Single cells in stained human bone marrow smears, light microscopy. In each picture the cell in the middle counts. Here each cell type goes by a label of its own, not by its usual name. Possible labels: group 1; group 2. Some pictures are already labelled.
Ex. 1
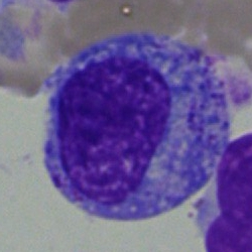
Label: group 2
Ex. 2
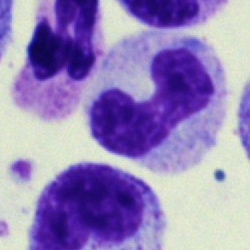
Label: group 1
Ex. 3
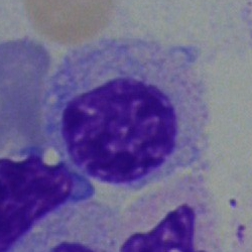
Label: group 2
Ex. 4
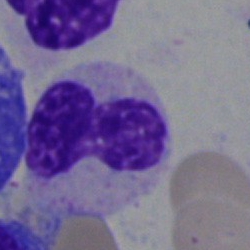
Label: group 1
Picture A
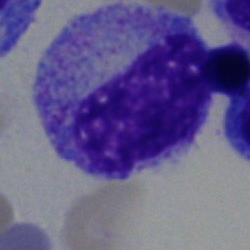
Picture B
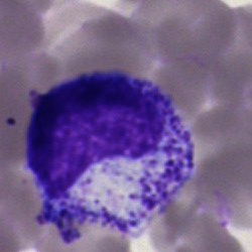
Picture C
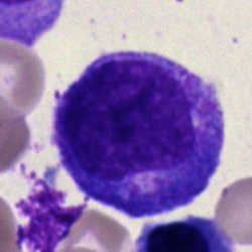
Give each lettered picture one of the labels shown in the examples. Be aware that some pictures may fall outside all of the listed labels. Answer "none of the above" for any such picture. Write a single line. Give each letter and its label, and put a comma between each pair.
A none of the above, B none of the above, C group 2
